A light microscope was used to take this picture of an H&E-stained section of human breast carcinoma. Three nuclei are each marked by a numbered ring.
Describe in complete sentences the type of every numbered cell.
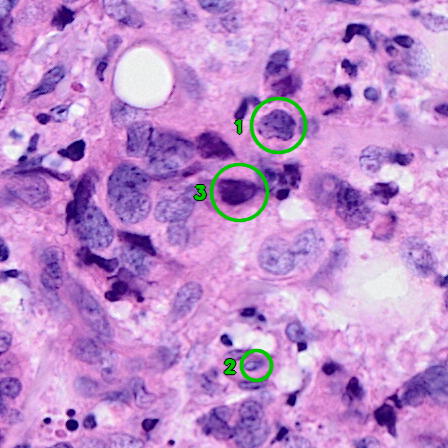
Cells 1 and 3 are carcinoma cells. Cell 2 is an endothelial cell.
